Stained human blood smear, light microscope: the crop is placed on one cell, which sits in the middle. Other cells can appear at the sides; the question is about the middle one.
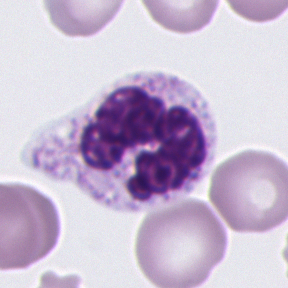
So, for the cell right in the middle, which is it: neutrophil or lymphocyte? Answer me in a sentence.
The cell at the middle of the frame should be recorded as a neutrophil.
